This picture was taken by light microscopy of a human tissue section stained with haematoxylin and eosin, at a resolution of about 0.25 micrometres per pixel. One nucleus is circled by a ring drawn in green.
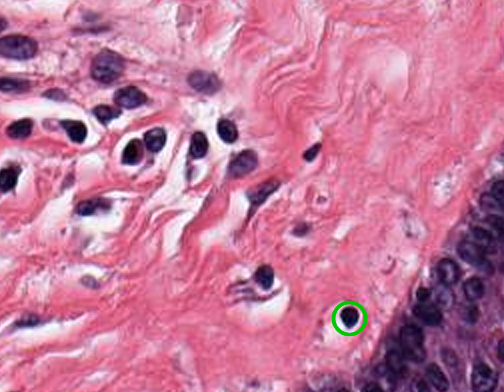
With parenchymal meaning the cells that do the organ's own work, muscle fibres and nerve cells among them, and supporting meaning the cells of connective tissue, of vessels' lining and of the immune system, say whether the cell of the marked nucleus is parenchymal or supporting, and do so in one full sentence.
In this section, a supporting cell is the cell with the marked nucleus.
